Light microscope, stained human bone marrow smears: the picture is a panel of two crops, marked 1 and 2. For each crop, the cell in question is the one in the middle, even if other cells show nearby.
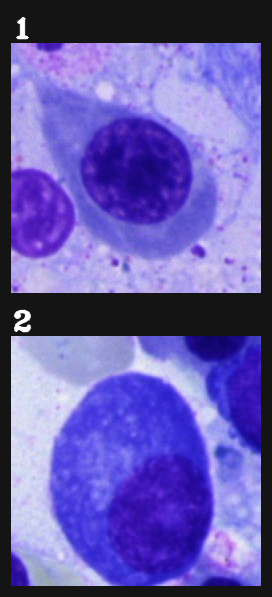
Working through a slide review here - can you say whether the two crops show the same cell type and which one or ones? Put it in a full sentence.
No, an erythroblast is in crop 1, while a plasma cell is in crop 2.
